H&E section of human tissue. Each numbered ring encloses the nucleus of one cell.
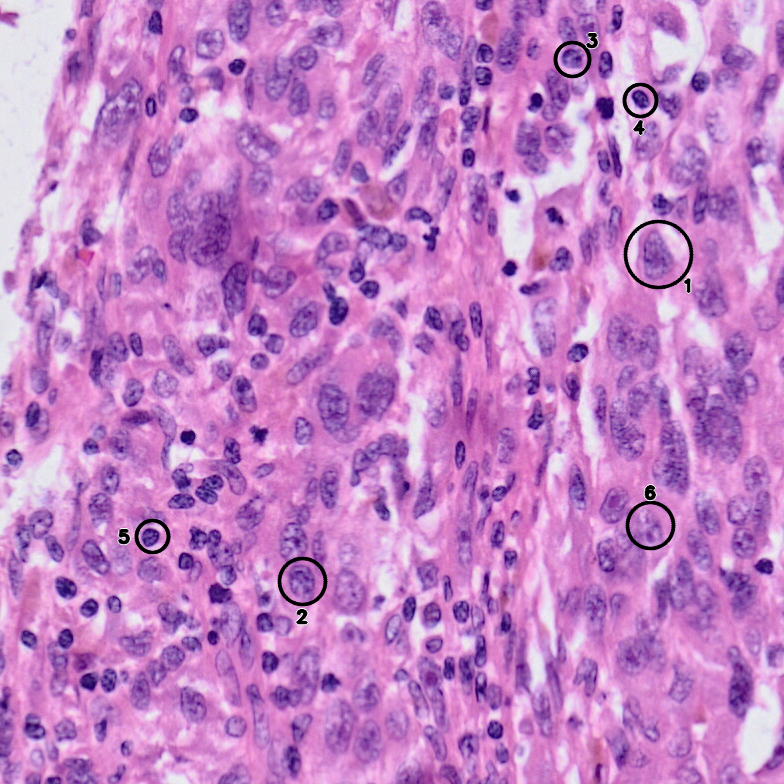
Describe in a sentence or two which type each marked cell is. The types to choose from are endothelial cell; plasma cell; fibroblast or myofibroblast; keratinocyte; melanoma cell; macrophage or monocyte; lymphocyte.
Cell 1 is a melanoma cell, cell 2 is a melanoma cell, cell 3 is a lymphocyte, cell 4 is a lymphocyte, cell 5 is a lymphocyte and cell 6 is a melanoma cell.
